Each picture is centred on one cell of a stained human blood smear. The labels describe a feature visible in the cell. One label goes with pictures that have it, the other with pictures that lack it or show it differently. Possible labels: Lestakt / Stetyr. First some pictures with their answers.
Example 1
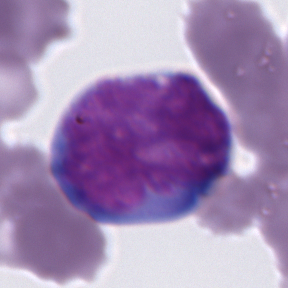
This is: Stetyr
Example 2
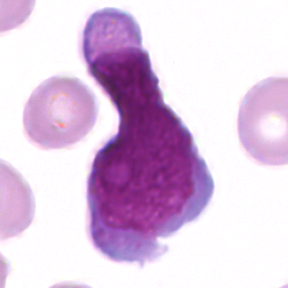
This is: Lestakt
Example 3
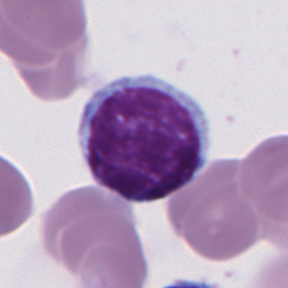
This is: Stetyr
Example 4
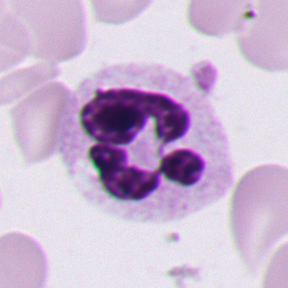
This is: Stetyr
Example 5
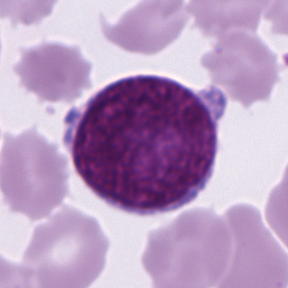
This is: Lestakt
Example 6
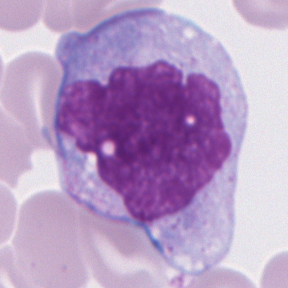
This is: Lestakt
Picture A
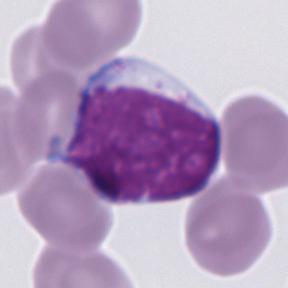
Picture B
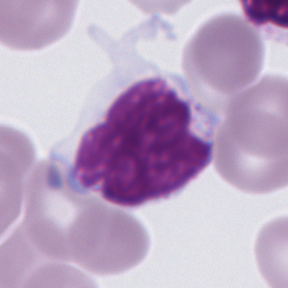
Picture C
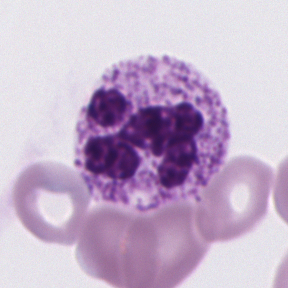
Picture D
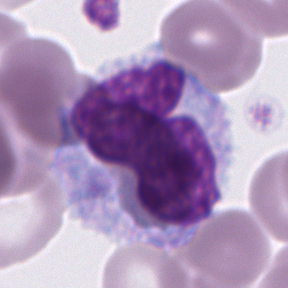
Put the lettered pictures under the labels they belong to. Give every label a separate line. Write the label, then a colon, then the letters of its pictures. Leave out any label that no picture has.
Lestakt: A, B, D
Stetyr: C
